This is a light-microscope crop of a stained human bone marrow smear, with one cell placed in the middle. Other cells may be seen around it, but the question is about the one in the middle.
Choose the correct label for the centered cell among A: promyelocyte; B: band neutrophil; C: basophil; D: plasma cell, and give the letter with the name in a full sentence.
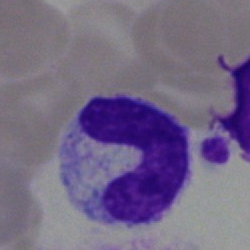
Of the options given, B is correct, the central cell being a band neutrophil.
